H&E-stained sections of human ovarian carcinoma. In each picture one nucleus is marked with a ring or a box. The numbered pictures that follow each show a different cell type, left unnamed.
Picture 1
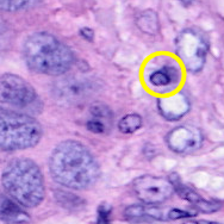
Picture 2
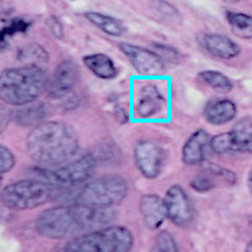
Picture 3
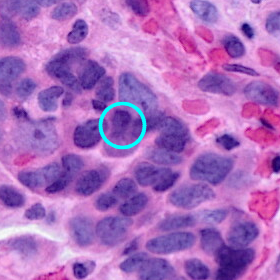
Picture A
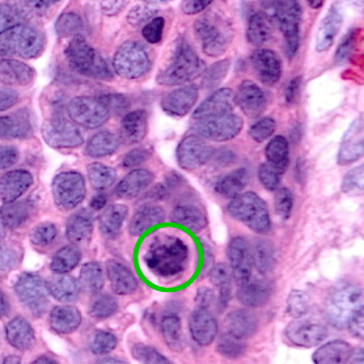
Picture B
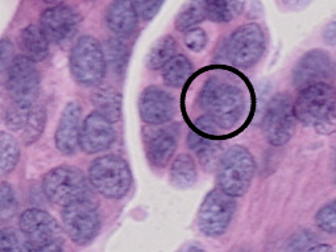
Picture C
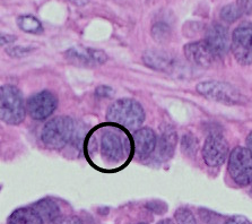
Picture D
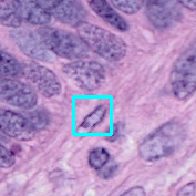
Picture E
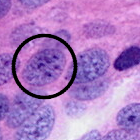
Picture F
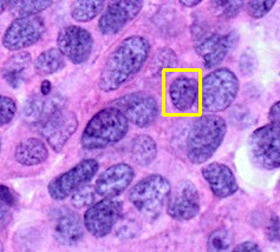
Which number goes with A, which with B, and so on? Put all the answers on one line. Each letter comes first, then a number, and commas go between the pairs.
A 3, B 3, C 3, D 2, E 3, F 3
